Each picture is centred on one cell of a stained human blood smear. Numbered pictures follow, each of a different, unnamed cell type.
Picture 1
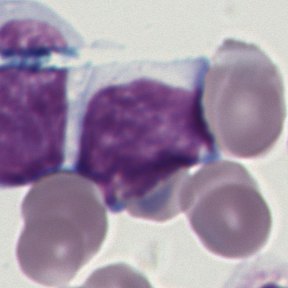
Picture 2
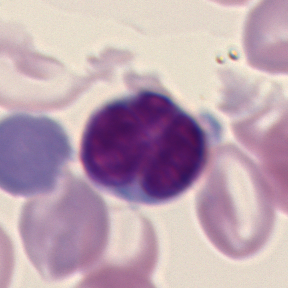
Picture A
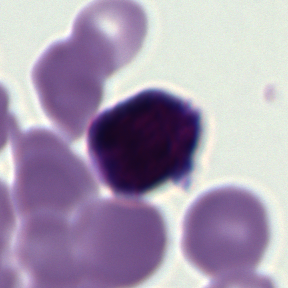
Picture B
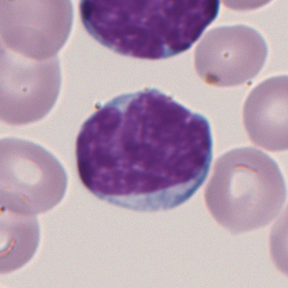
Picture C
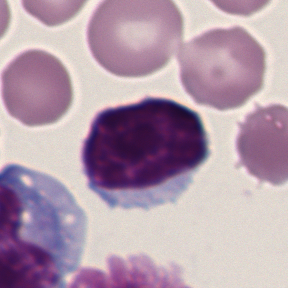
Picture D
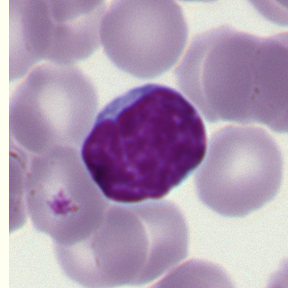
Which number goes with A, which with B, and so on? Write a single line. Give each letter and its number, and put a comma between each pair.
A 1, B 2, C 2, D 2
